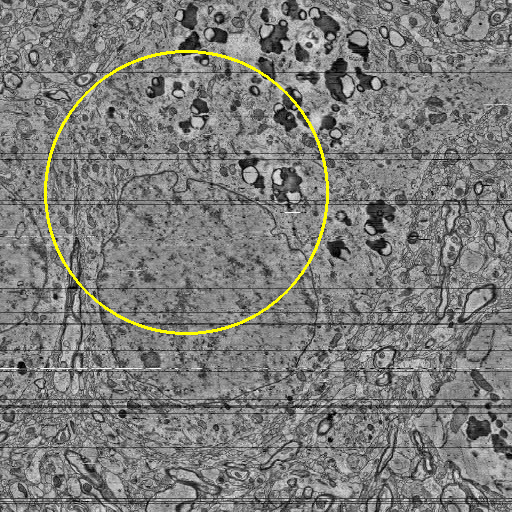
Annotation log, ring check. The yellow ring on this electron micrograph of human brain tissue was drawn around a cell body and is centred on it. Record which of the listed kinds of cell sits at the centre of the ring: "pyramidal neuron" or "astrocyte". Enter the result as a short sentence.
The cell at the centre of the ring is a pyramidal neuron.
